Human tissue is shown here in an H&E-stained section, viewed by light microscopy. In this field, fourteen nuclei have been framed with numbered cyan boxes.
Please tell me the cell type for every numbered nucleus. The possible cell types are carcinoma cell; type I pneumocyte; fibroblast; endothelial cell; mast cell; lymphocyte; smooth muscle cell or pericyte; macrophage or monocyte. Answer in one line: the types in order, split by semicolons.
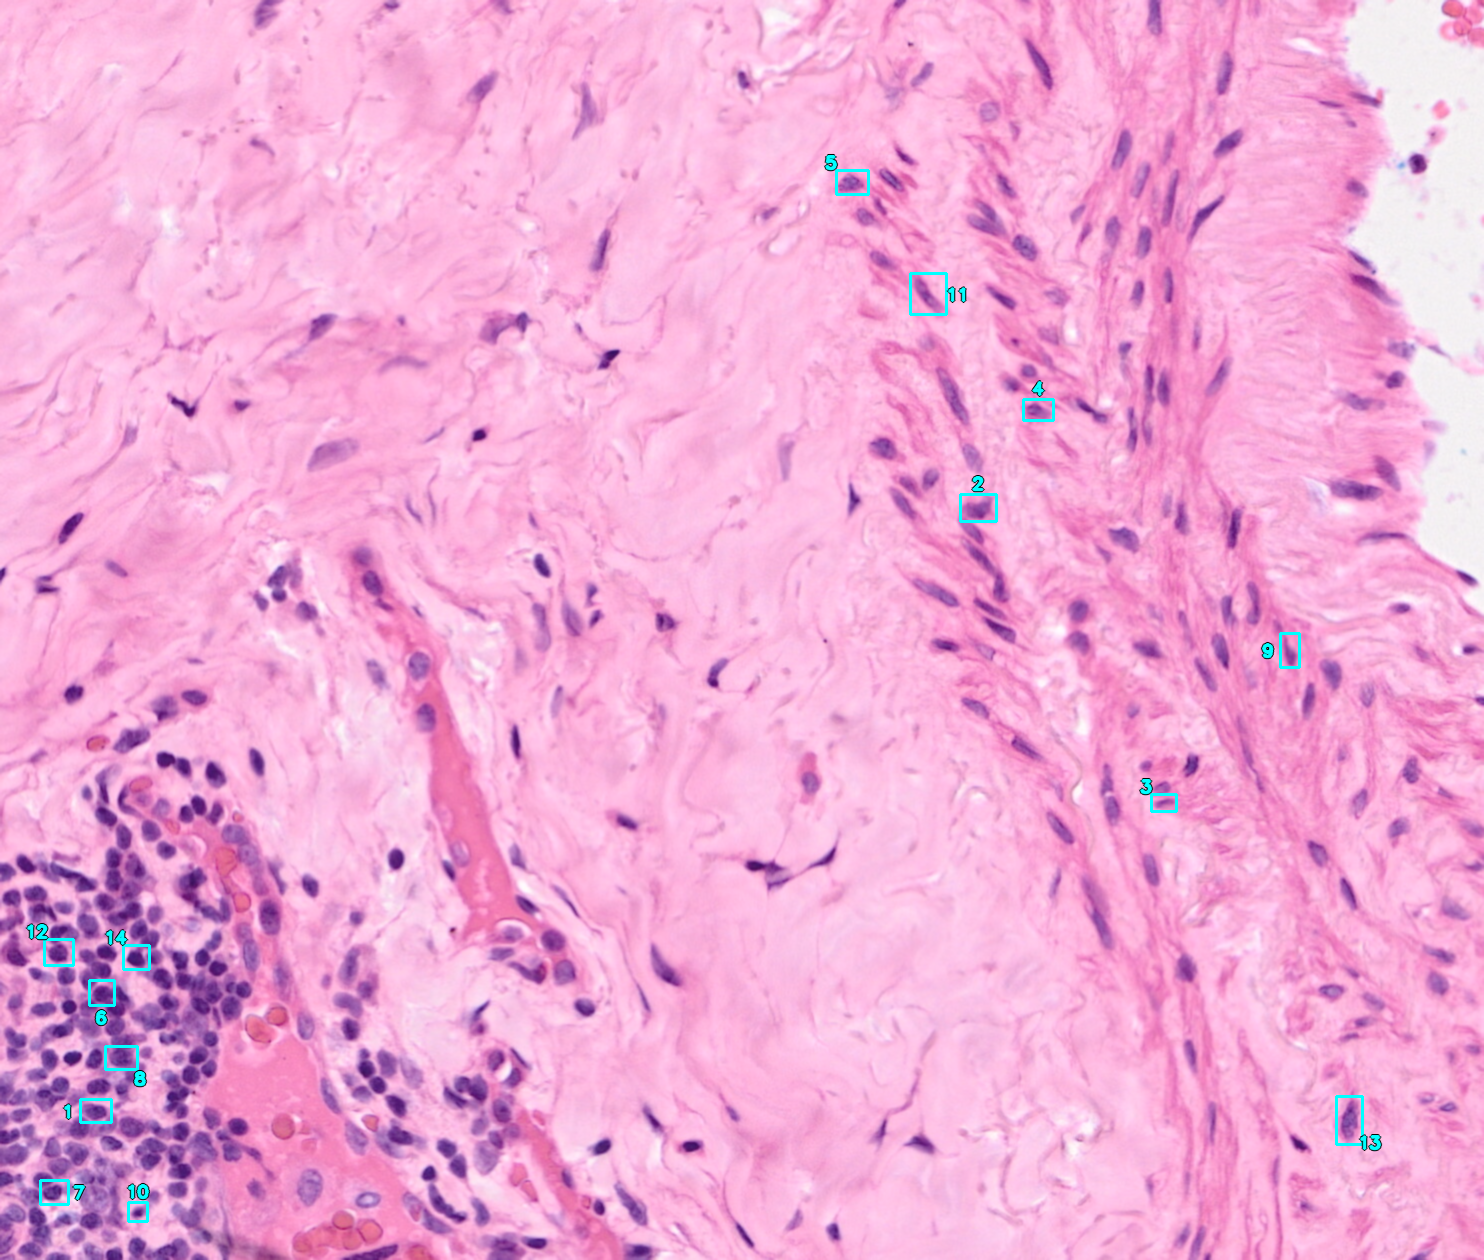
lymphocyte; smooth muscle cell or pericyte; smooth muscle cell or pericyte; smooth muscle cell or pericyte; smooth muscle cell or pericyte; lymphocyte; lymphocyte; lymphocyte; smooth muscle cell or pericyte; lymphocyte; smooth muscle cell or pericyte; lymphocyte; smooth muscle cell or pericyte; lymphocyte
